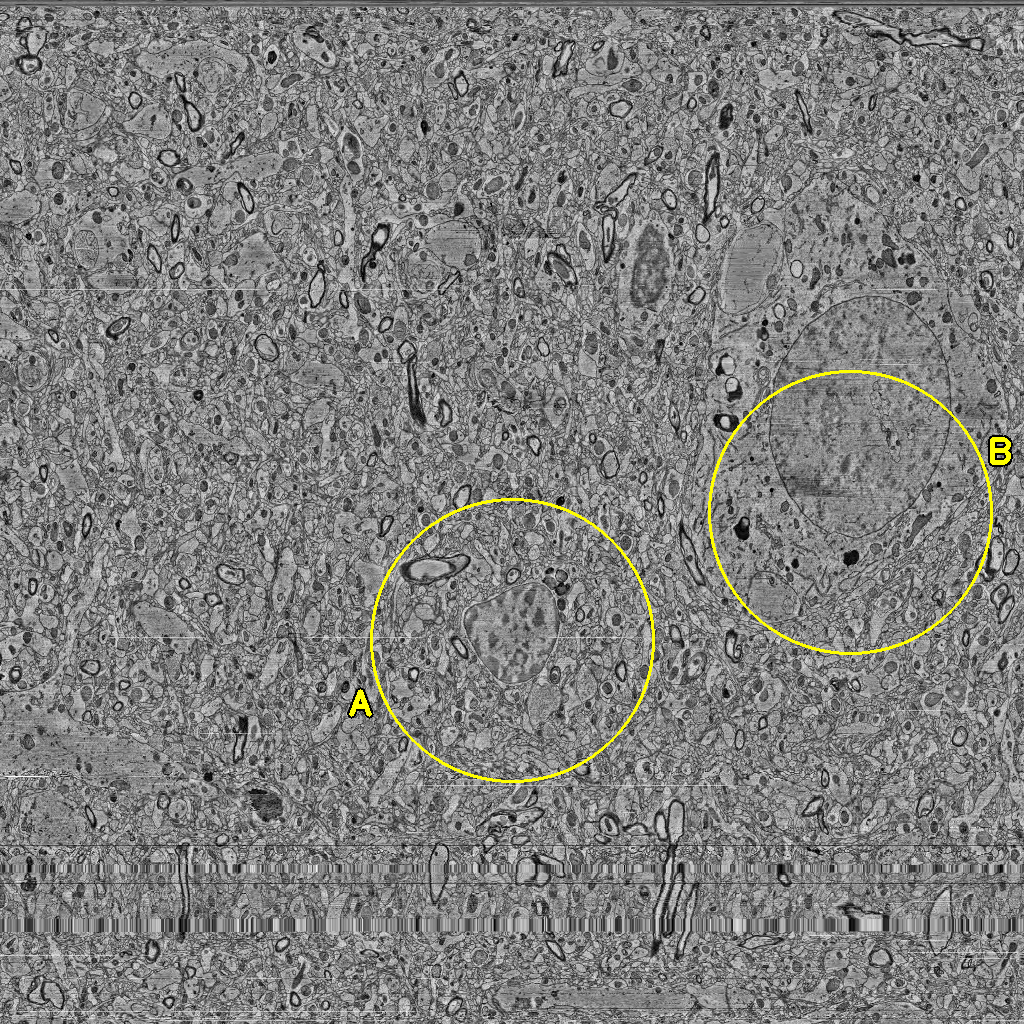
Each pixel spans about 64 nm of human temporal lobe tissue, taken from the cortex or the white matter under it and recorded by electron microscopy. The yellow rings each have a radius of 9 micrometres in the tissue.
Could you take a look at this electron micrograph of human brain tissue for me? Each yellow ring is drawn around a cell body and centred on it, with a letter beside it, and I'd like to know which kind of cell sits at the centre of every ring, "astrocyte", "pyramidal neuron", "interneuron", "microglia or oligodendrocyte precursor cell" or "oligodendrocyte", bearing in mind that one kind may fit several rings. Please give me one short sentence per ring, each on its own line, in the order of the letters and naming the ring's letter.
Ring A is centred on a microglial cell or oligodendrocyte precursor cell.
Ring B is centred on a pyramidal neuron.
